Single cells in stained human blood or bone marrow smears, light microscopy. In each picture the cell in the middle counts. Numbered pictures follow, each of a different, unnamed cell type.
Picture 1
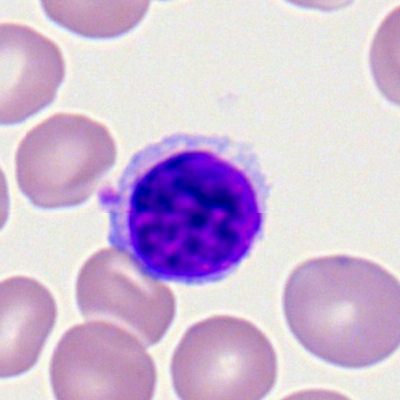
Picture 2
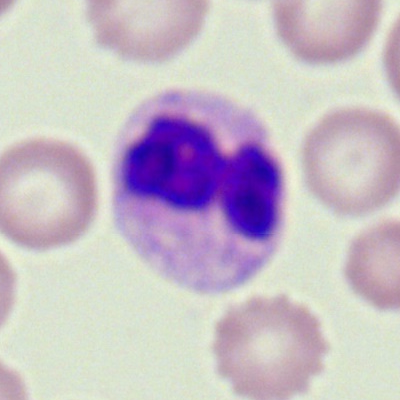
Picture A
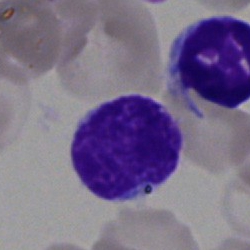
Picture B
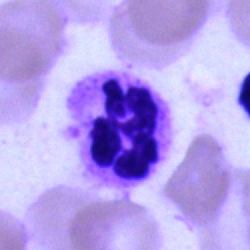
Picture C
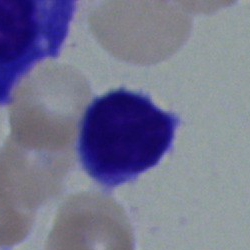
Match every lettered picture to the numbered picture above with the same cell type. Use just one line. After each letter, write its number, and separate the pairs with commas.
A 1, B 2, C 1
